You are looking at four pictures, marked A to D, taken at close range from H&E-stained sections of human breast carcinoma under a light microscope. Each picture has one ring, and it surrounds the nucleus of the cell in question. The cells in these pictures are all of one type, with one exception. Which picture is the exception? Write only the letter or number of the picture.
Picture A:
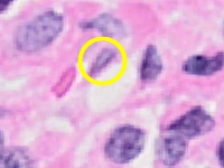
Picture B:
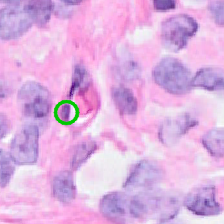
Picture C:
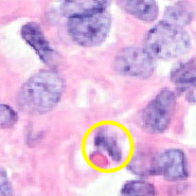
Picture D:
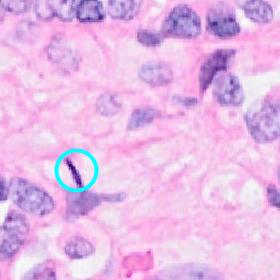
D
